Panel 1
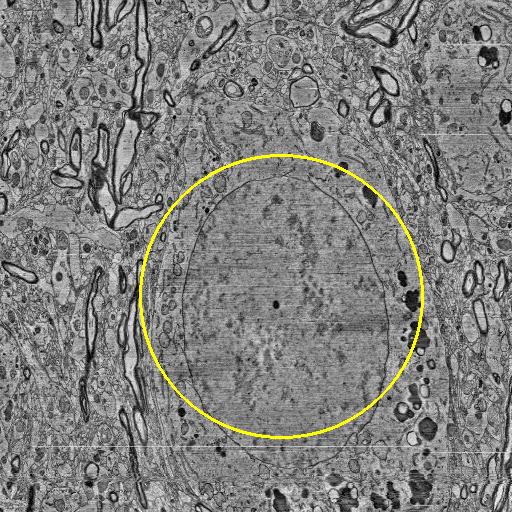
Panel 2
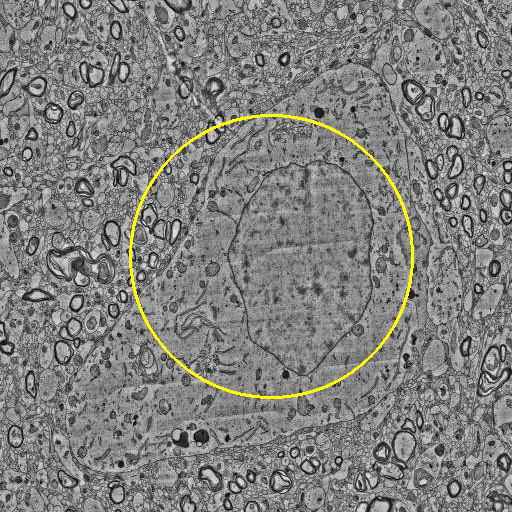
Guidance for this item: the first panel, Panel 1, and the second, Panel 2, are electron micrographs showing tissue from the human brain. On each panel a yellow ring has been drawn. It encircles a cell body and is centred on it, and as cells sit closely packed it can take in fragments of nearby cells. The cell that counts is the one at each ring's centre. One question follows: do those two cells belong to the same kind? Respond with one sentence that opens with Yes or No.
Yes, the cells at the ring centres in Panel 1 and Panel 2 are of one kind.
